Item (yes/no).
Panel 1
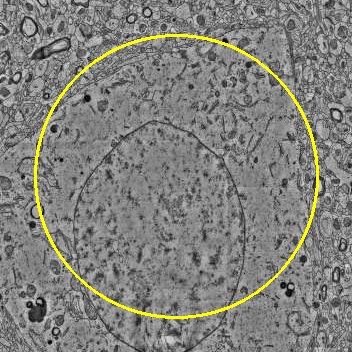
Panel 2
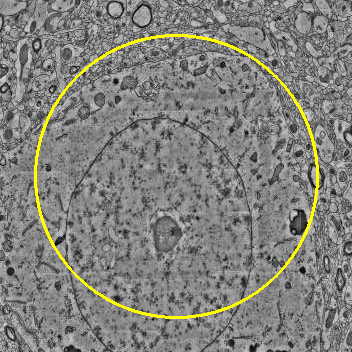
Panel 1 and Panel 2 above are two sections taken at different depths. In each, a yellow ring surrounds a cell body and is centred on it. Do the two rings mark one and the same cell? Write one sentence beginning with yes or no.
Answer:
Yes, the two marked outlines come from one and the same cell.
